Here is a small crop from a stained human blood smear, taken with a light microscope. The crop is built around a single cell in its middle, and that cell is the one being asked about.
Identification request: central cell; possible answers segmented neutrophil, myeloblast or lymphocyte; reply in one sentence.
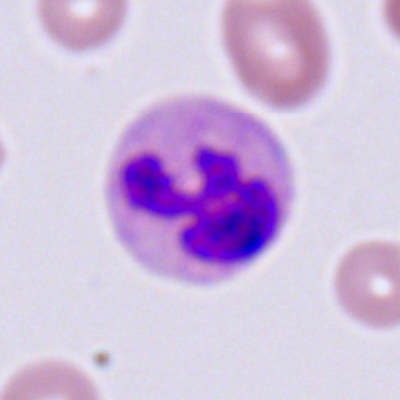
By type, the central cell of the crop is a segmented neutrophil.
